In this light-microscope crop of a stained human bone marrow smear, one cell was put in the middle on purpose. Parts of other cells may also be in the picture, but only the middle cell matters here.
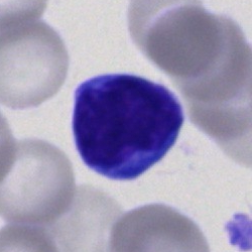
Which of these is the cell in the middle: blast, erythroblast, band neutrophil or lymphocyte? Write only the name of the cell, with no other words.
blast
